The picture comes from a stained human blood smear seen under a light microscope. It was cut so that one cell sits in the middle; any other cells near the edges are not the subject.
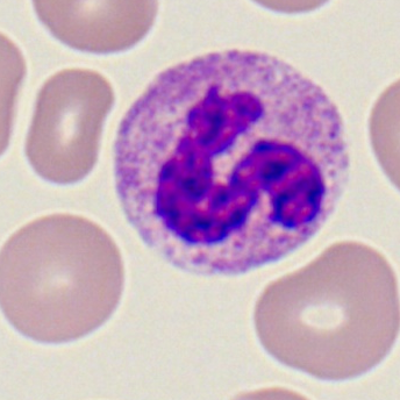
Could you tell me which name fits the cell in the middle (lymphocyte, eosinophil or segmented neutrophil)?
segmented neutrophil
